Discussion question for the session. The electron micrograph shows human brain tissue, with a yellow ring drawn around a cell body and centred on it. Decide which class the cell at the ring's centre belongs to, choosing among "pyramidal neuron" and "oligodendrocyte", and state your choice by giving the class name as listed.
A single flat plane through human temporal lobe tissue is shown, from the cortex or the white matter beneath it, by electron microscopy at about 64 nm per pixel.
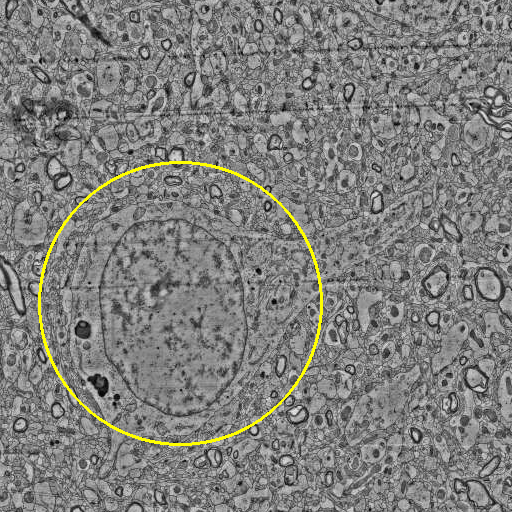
pyramidal neuron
